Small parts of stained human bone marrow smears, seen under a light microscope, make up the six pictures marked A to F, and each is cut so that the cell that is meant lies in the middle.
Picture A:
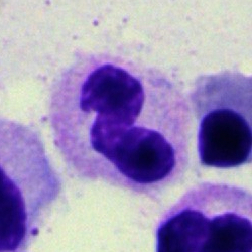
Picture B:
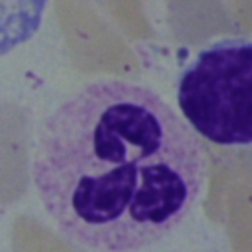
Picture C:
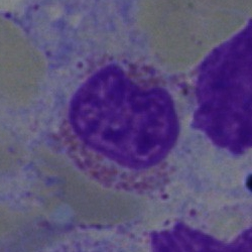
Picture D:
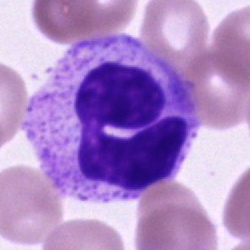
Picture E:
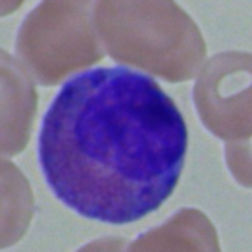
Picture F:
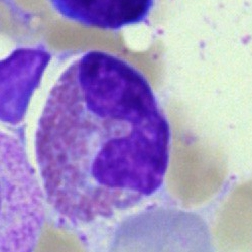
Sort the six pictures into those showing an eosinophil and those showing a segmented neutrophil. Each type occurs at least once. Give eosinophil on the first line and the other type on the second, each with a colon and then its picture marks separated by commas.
eosinophil: C, E, F
segmented neutrophil: A, B, D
